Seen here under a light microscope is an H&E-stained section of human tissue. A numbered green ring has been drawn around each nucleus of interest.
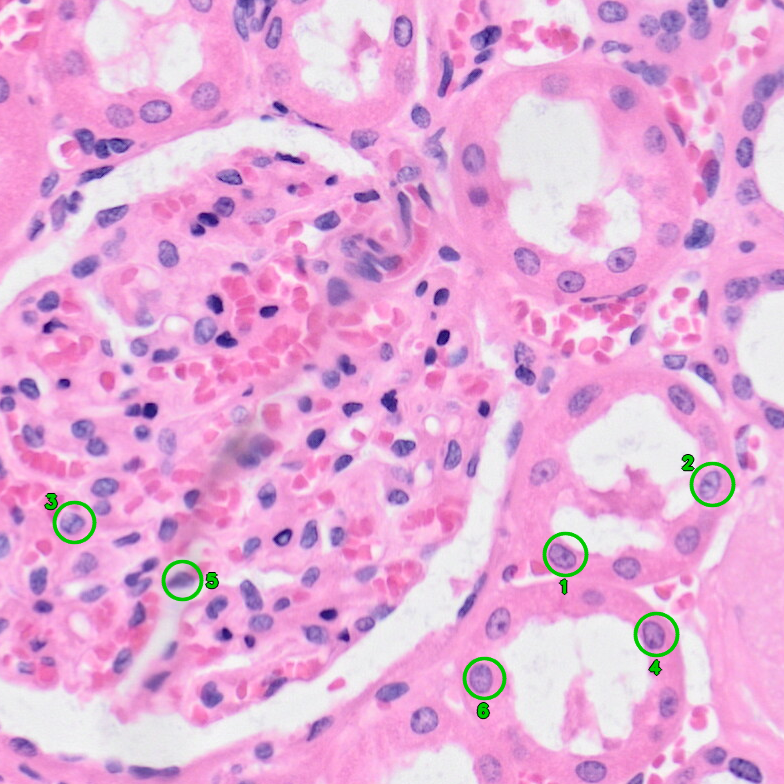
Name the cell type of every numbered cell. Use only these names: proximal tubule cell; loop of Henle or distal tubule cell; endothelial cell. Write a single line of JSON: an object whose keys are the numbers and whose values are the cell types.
{"1": "proximal tubule cell", "2": "proximal tubule cell", "3": "endothelial cell", "4": "proximal tubule cell", "5": "endothelial cell", "6": "proximal tubule cell"}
